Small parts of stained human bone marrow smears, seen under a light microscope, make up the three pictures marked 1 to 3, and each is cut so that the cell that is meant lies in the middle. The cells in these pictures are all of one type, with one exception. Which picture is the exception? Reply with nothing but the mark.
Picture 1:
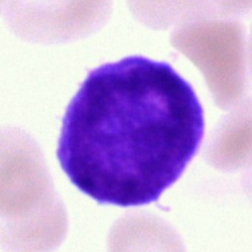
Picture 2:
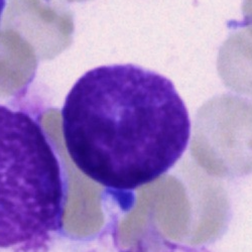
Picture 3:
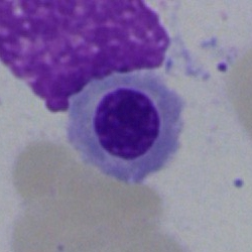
3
